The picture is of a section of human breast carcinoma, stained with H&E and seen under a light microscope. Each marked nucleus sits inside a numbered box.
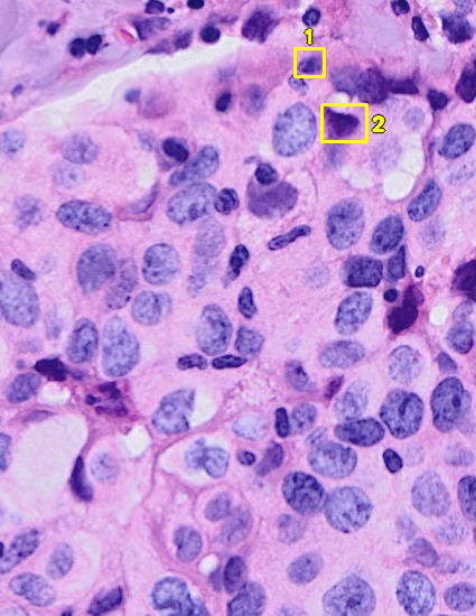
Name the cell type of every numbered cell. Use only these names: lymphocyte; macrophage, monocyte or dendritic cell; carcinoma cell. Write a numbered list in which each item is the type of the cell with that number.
1. lymphocyte
2. carcinoma cell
